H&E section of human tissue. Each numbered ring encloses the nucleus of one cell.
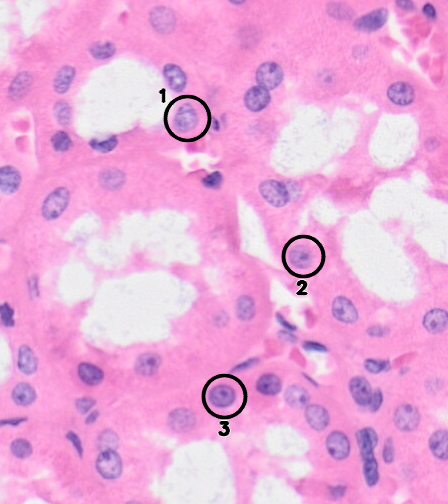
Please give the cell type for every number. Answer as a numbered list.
1. loop of Henle or distal tubule cell
2. proximal tubule cell
3. proximal tubule cell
